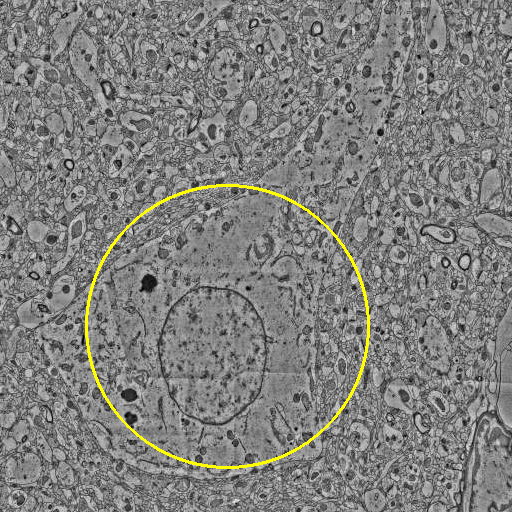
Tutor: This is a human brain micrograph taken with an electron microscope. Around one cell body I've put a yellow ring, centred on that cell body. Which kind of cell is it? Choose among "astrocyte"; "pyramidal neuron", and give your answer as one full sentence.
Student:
Going by your list, the cell centred in the yellow ring is a pyramidal neuron.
